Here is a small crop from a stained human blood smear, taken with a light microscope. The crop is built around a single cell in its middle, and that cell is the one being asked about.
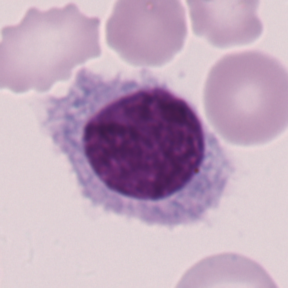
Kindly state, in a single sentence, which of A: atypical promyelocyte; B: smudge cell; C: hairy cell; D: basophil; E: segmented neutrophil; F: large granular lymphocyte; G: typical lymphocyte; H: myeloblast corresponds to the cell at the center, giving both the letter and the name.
Option C is to be chosen, as the central cell is a hairy cell.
